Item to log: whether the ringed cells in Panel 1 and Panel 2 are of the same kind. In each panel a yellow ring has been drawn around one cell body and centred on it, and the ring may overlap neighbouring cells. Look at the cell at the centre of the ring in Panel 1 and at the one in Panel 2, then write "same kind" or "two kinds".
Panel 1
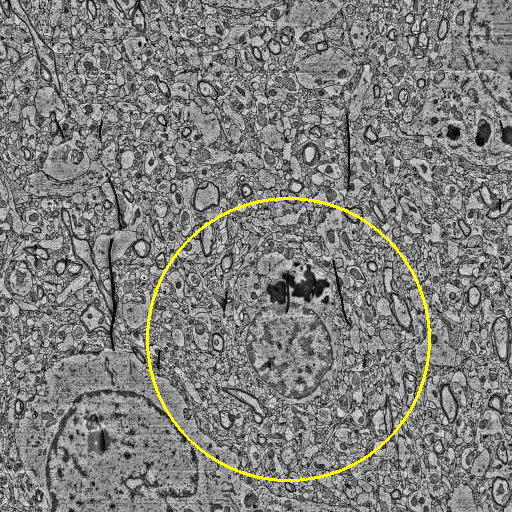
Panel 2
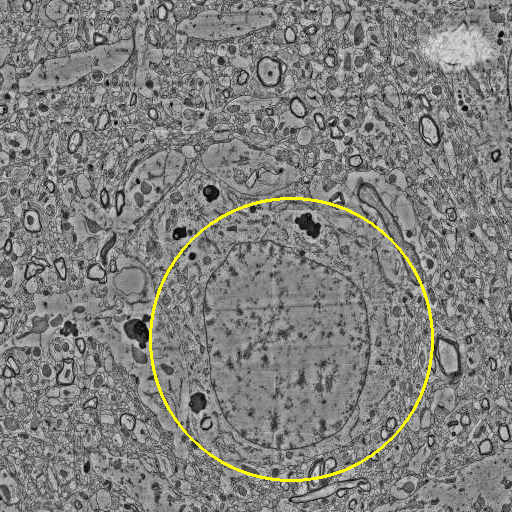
two kinds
